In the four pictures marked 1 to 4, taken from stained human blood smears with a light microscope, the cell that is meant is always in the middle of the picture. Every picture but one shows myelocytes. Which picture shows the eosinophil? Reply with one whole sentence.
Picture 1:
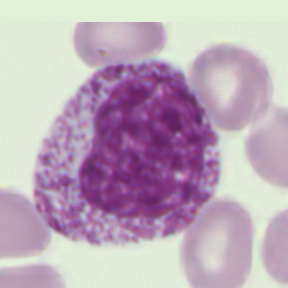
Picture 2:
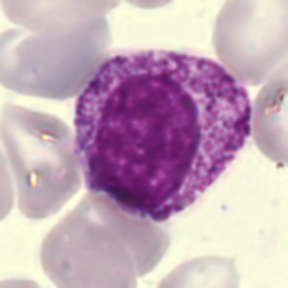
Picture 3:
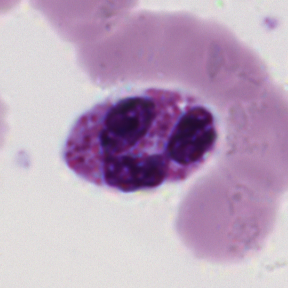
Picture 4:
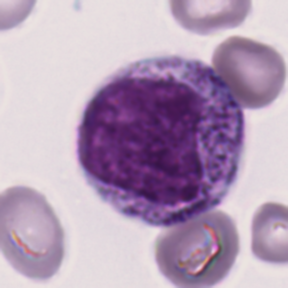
The picture with the eosinophil is 3.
